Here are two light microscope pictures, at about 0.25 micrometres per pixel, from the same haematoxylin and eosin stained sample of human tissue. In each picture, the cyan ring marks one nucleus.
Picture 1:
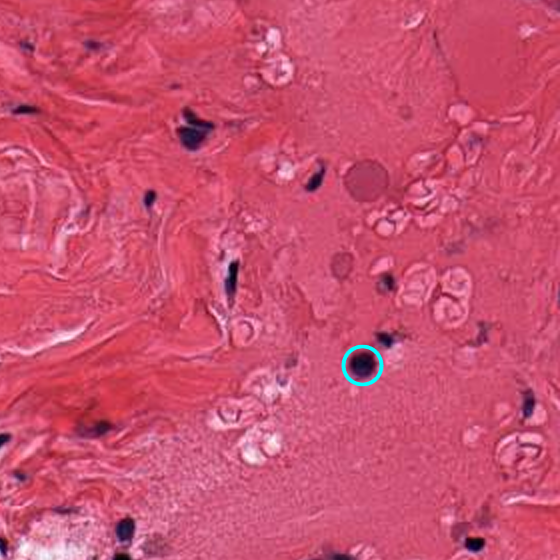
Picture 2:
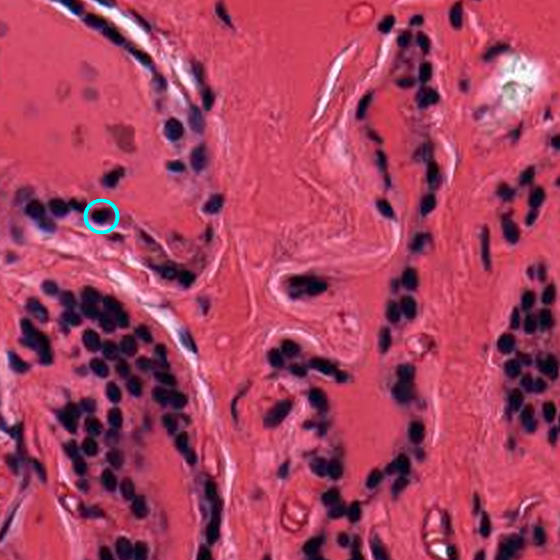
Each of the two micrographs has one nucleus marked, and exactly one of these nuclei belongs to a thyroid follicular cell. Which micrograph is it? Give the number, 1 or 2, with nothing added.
2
